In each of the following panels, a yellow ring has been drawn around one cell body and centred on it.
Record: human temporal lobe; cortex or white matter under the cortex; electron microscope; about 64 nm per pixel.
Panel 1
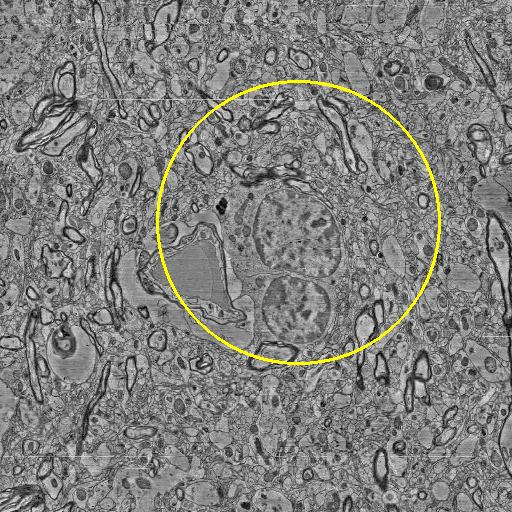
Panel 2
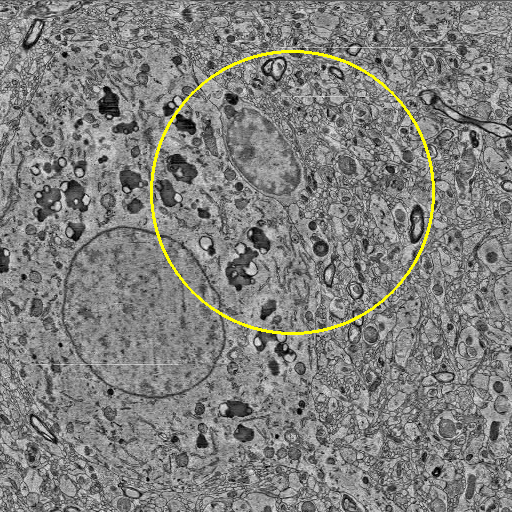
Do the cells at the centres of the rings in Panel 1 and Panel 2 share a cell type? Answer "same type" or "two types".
same type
